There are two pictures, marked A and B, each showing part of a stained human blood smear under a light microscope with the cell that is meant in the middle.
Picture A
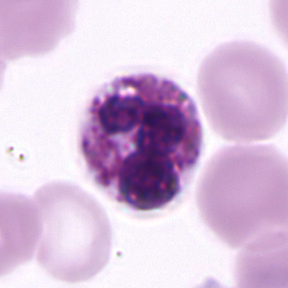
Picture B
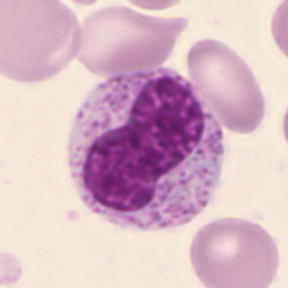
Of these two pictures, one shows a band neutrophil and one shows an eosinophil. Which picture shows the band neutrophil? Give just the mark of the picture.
B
